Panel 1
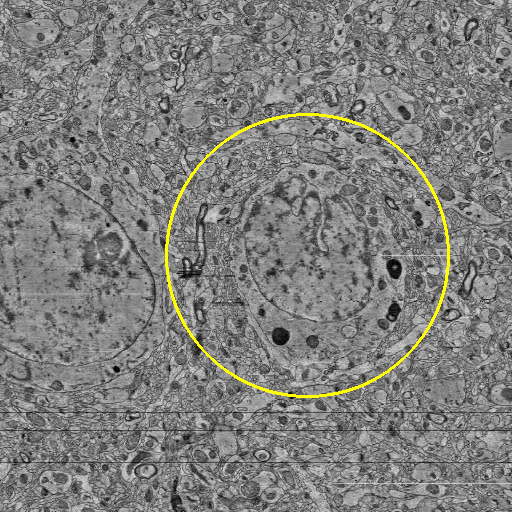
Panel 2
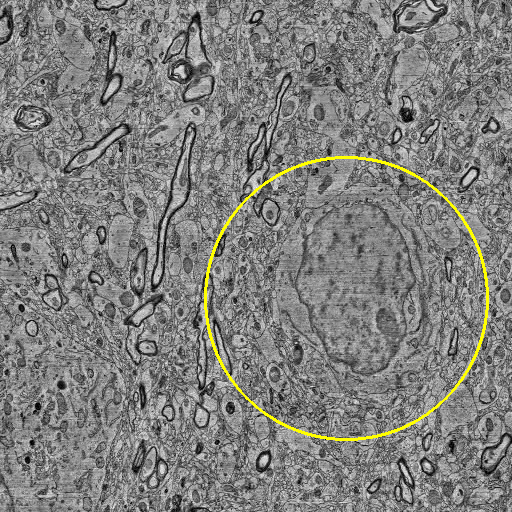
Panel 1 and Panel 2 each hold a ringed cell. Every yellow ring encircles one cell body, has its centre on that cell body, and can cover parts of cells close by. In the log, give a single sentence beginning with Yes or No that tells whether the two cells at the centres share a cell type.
Yes, in Panel 1 and Panel 2 the centred cells share a cell type.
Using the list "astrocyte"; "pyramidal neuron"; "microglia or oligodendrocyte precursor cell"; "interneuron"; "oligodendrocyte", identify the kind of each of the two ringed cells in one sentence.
In each of the two pictures, the ringed cell is an interneuron.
